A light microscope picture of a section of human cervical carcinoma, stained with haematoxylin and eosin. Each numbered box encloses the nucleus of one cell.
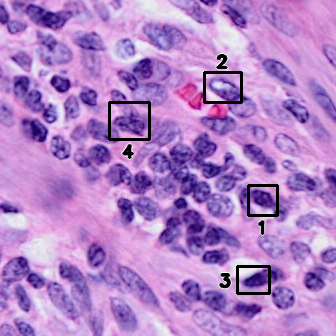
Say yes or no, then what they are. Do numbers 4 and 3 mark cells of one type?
Yes, note that cells 4 and 3 are both lymphocytes.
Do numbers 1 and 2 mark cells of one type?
No, the cell numbered 1 is a lymphocyte and the cell numbered 2 is an endothelial cell.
